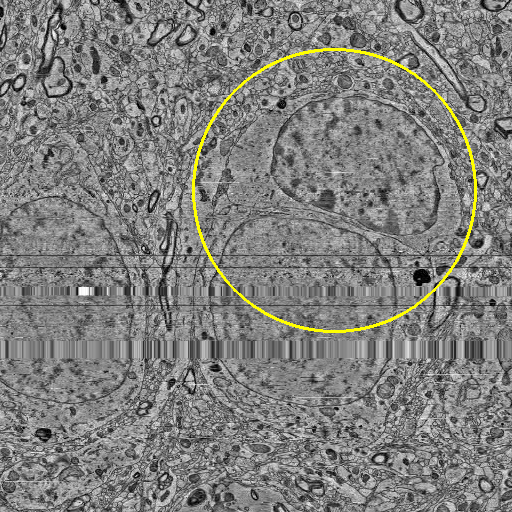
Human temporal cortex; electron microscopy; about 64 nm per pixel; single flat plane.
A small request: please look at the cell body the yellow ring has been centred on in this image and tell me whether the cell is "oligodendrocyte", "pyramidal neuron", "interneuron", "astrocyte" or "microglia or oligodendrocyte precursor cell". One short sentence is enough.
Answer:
The cell marked by the ring is a microglial cell or oligodendrocyte precursor cell.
